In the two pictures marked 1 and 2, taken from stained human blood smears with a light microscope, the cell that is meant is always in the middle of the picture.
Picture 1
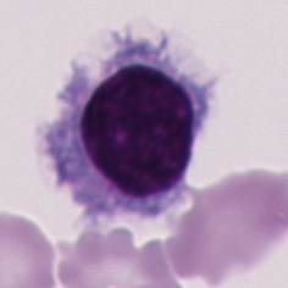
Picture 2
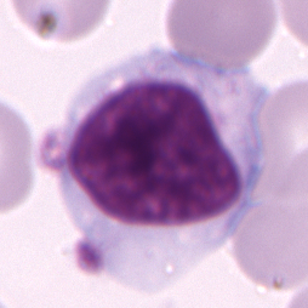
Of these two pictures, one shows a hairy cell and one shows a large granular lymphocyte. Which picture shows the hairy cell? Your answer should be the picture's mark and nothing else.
1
